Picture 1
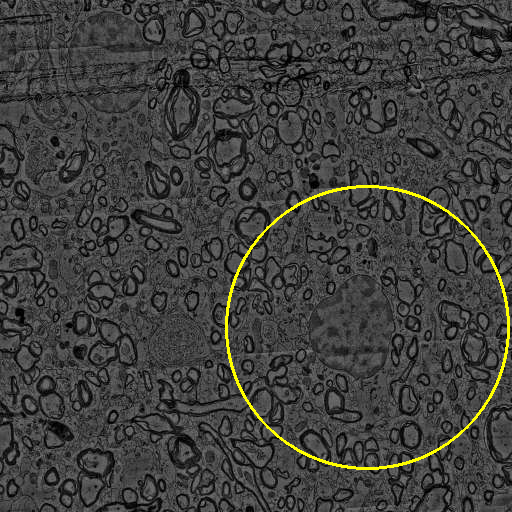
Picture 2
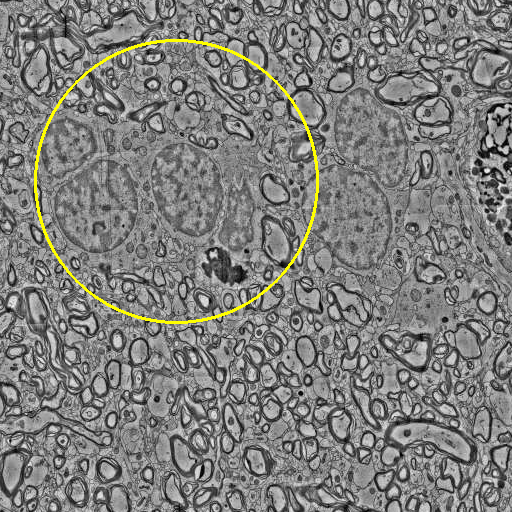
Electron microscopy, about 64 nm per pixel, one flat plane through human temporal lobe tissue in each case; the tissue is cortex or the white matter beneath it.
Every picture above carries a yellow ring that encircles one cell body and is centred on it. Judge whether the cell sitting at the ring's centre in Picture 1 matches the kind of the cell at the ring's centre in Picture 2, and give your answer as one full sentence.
No, the cells centred in the rings of Pictures 1 and 2 belong to two kinds.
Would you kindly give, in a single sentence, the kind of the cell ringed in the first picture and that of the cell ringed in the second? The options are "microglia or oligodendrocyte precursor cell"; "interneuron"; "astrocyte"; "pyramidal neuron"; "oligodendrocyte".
The second cell is an oligodendrocyte, and the first cell is a microglial cell or oligodendrocyte precursor cell.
